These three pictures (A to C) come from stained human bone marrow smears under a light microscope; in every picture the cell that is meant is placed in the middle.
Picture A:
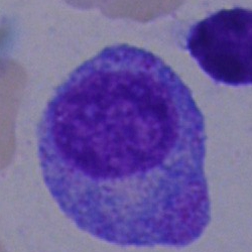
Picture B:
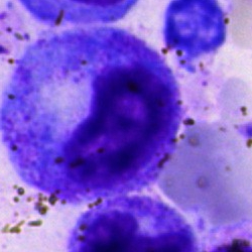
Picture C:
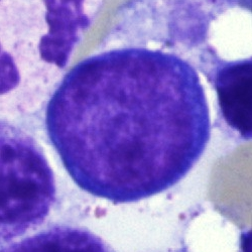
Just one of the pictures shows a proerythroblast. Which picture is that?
C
